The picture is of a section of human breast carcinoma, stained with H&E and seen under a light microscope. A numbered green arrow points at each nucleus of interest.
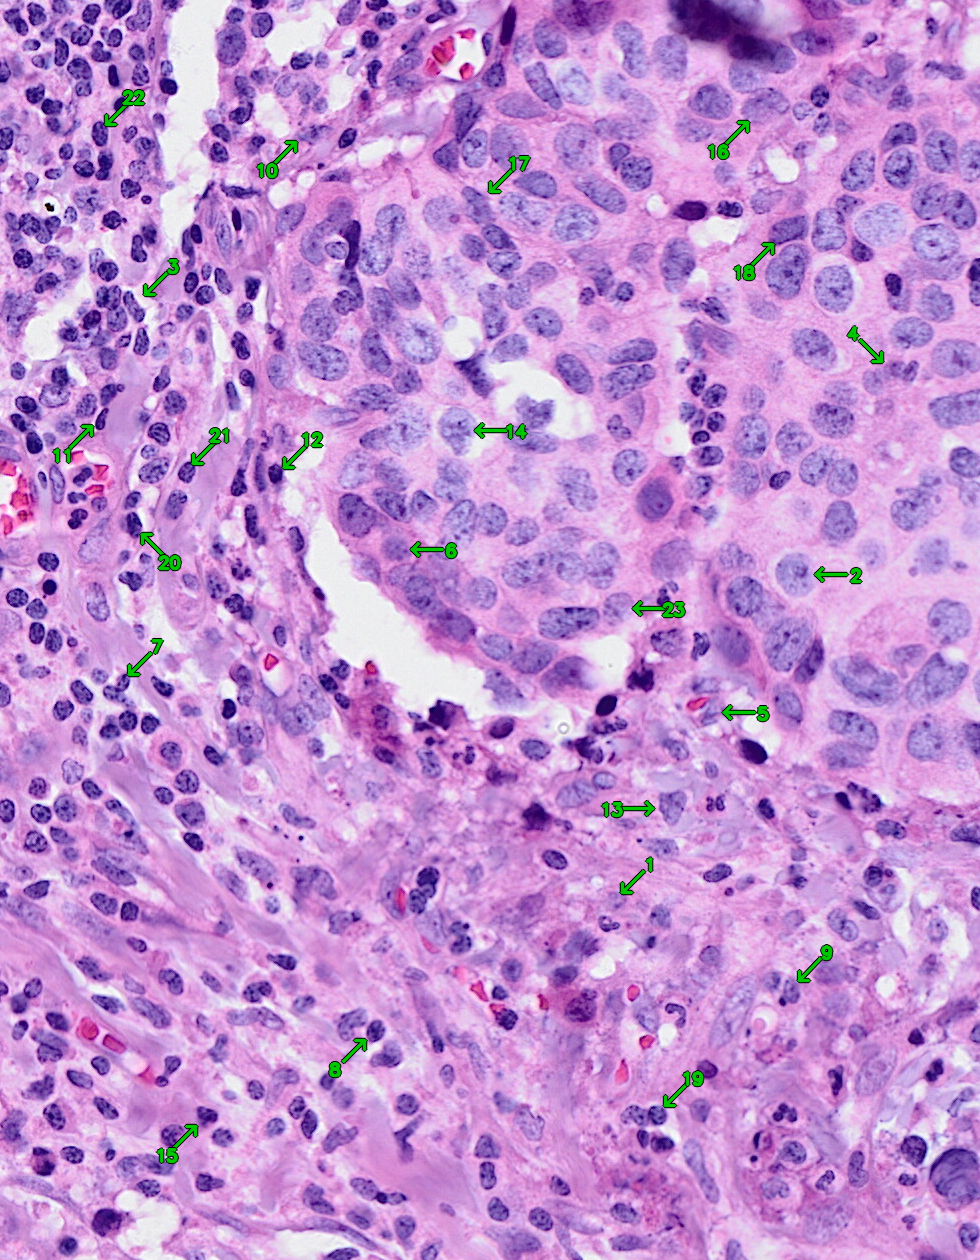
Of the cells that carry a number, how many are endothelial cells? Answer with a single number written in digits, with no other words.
1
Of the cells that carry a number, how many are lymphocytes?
10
